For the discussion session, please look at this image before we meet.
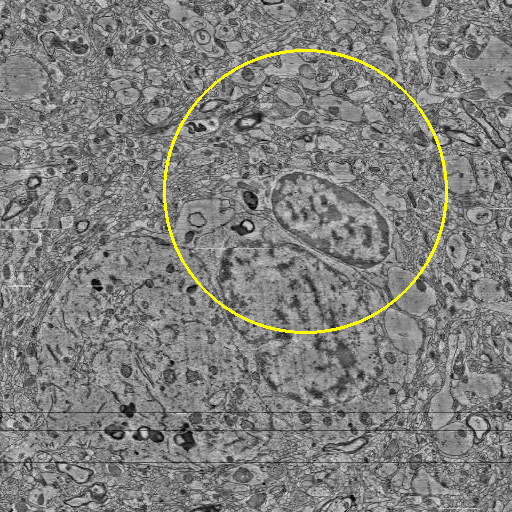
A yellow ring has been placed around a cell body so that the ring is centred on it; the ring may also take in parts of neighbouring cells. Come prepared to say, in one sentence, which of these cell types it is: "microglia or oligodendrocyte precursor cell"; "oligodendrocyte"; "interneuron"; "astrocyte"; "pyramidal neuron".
The cell centred in the ring is a microglial cell or oligodendrocyte precursor cell.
